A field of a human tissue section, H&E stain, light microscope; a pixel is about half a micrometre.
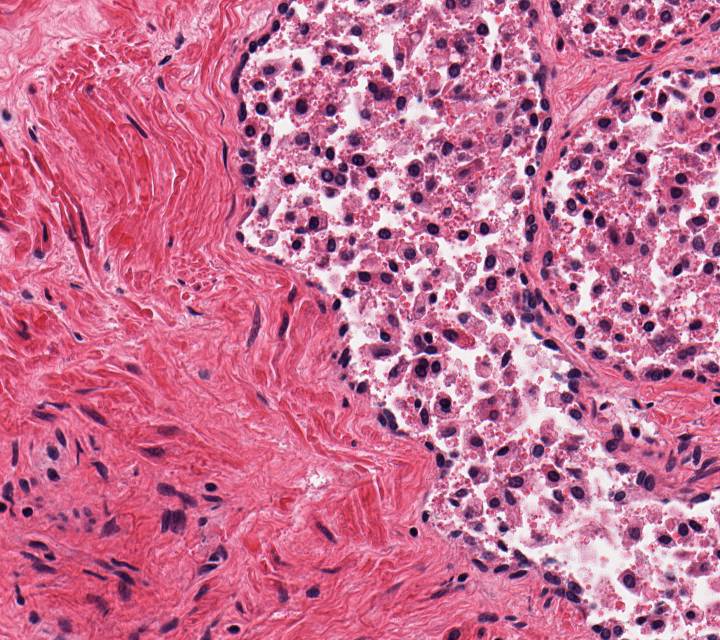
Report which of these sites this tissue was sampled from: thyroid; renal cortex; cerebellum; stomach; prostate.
prostate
